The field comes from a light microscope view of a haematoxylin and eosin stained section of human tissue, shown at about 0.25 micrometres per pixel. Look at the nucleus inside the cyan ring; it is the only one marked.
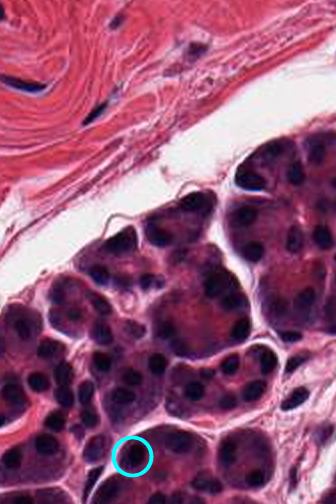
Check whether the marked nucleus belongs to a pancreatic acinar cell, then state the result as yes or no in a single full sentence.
Yes, the marked nucleus is in a pancreatic acinar cell.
